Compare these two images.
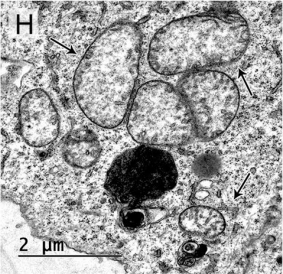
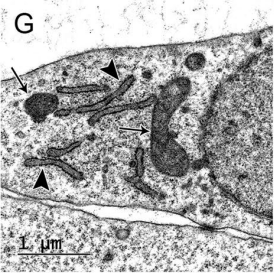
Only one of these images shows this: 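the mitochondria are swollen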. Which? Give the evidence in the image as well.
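The first image. First image: mitochondria are large and rounded with pale matrix and few cristae.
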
